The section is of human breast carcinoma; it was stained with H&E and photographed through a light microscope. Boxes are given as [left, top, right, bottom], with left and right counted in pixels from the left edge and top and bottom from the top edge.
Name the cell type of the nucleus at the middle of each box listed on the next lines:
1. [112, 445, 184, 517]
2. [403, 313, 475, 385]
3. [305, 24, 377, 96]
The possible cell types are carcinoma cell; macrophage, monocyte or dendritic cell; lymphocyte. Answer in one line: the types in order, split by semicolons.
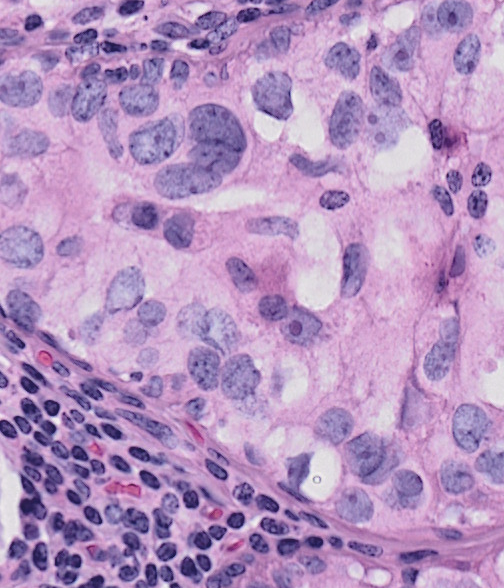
lymphocyte; carcinoma cell; carcinoma cell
